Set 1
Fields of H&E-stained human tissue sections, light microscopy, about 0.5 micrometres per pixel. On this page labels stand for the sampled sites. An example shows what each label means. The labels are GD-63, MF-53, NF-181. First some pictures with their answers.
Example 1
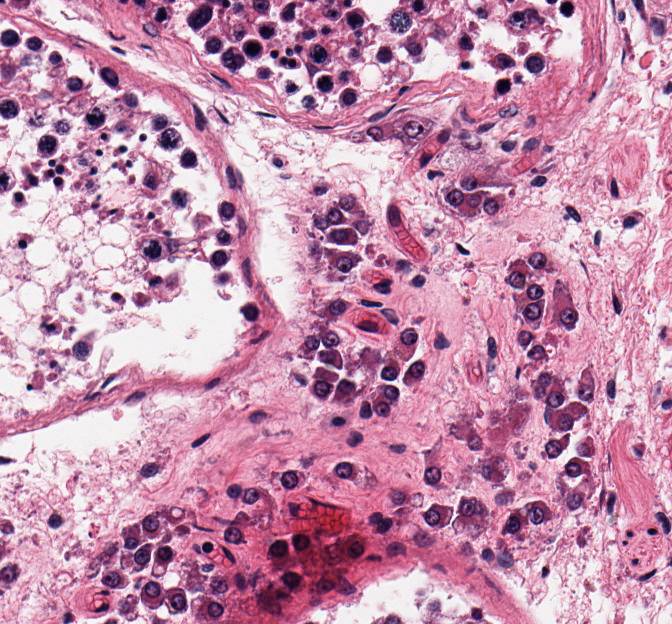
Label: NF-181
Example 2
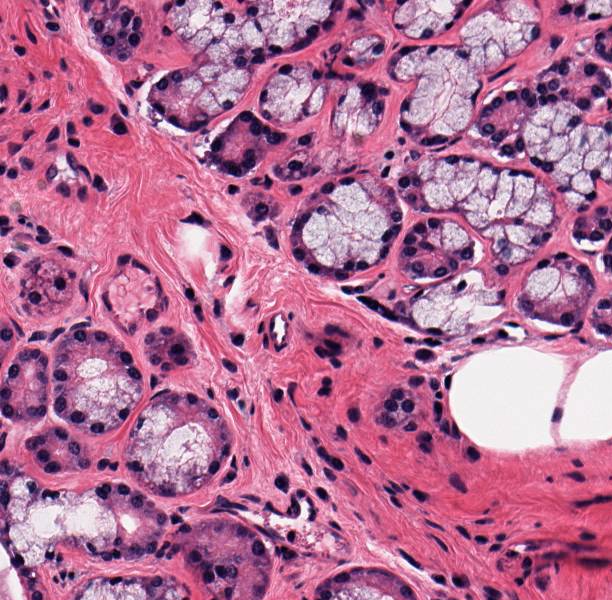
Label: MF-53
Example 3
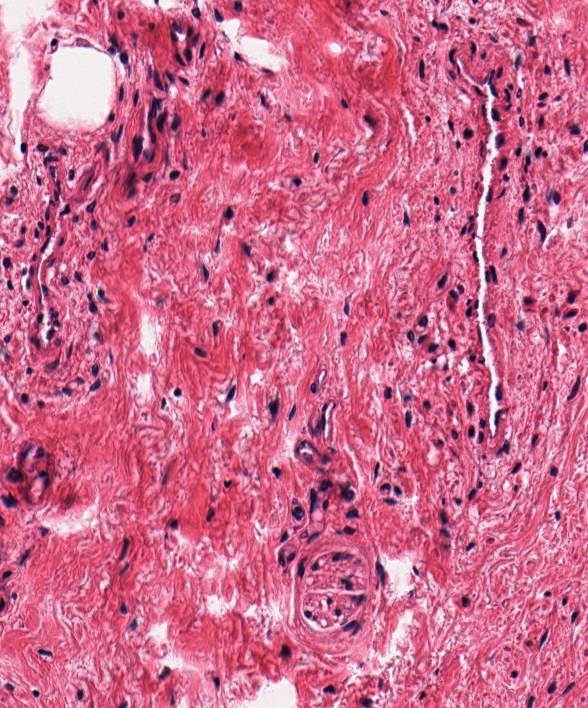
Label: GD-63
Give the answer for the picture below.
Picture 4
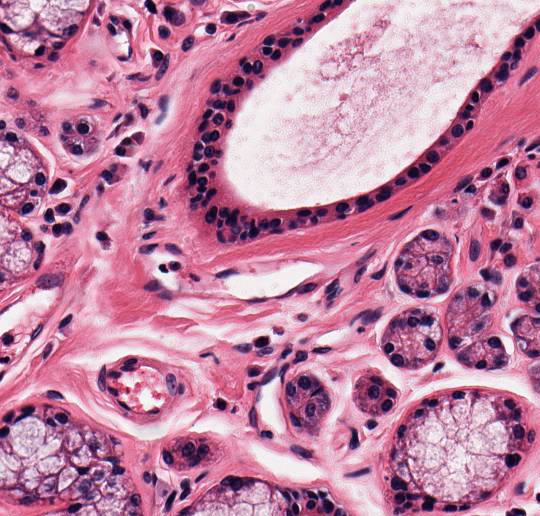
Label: MF-53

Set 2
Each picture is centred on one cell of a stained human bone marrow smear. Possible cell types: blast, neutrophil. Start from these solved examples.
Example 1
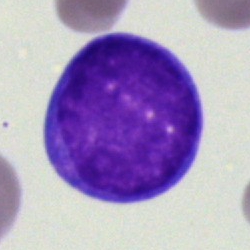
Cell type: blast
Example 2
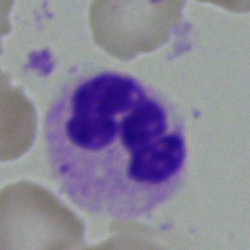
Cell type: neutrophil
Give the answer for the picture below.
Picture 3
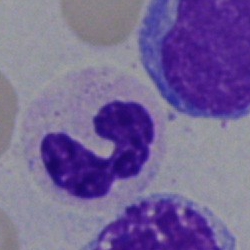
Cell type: neutrophil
